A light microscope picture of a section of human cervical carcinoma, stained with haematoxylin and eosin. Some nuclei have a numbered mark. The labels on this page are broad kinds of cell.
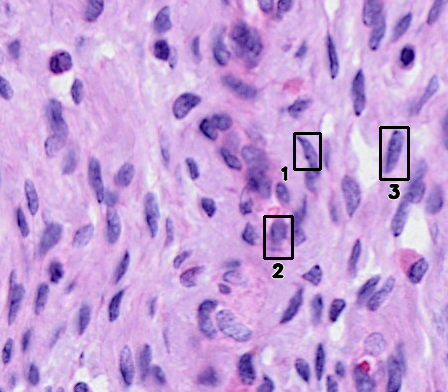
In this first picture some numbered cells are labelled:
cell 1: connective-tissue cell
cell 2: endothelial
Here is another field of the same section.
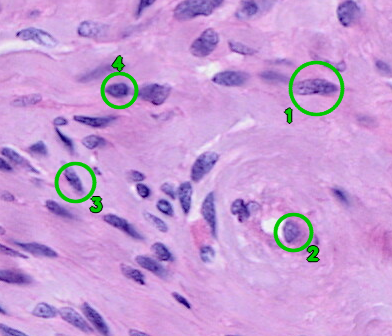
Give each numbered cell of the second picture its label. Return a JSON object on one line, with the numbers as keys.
{"1": "connective-tissue cell", "2": "endothelial", "3": "connective-tissue cell", "4": "connective-tissue cell"}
